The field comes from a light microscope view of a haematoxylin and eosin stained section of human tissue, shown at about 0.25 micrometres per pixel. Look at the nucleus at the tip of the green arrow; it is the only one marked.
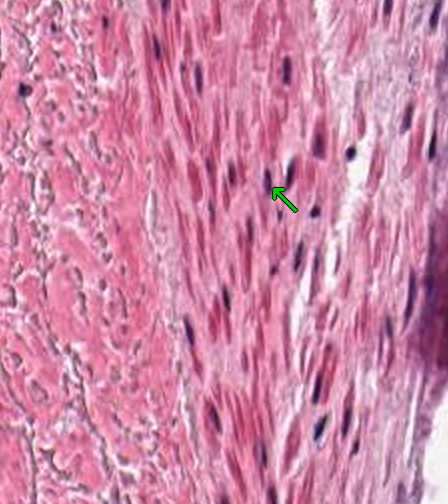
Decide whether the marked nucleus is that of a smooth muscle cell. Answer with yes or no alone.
yes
